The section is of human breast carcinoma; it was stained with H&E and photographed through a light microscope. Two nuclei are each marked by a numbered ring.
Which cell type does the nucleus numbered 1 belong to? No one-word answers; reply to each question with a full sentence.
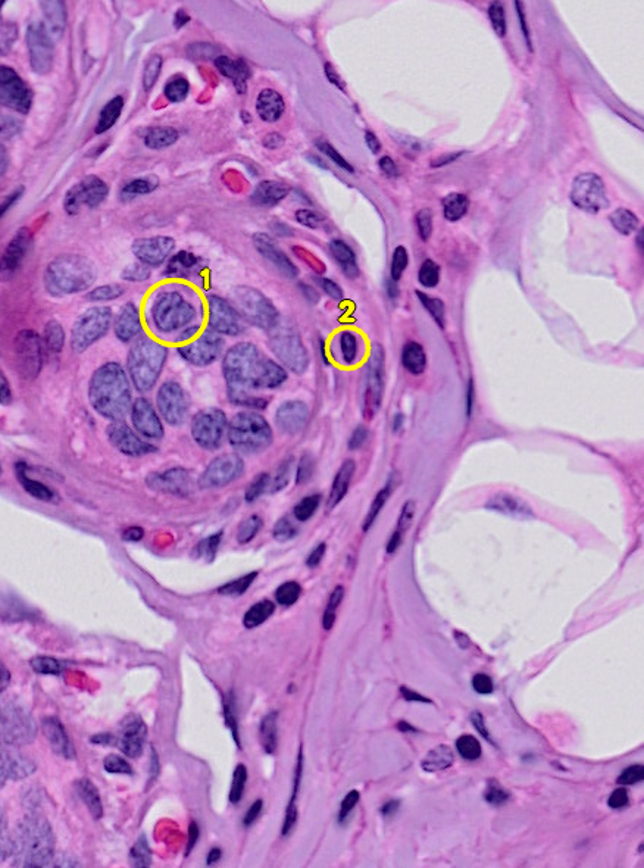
The cell whose nucleus carries the number 1 is a carcinoma cell.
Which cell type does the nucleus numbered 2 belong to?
The cell referred to as 2 is a mast cell.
